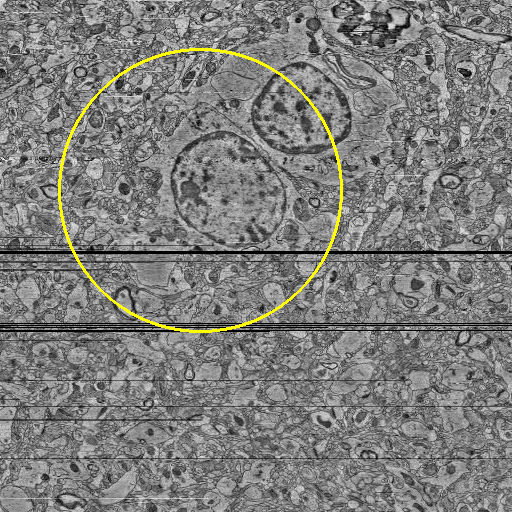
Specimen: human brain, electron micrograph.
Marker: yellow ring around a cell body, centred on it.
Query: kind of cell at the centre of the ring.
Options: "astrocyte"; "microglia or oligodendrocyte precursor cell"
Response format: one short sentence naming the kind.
This cell body belongs to an astrocyte.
